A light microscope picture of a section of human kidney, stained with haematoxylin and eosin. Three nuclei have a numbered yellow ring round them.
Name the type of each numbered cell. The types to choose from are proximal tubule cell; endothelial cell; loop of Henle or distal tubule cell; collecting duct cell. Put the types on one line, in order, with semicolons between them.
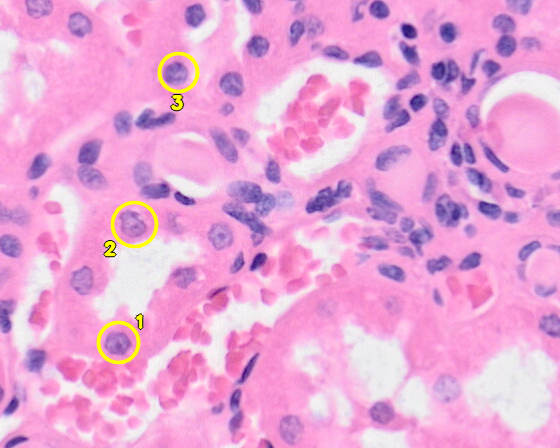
proximal tubule cell; proximal tubule cell; loop of Henle or distal tubule cell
